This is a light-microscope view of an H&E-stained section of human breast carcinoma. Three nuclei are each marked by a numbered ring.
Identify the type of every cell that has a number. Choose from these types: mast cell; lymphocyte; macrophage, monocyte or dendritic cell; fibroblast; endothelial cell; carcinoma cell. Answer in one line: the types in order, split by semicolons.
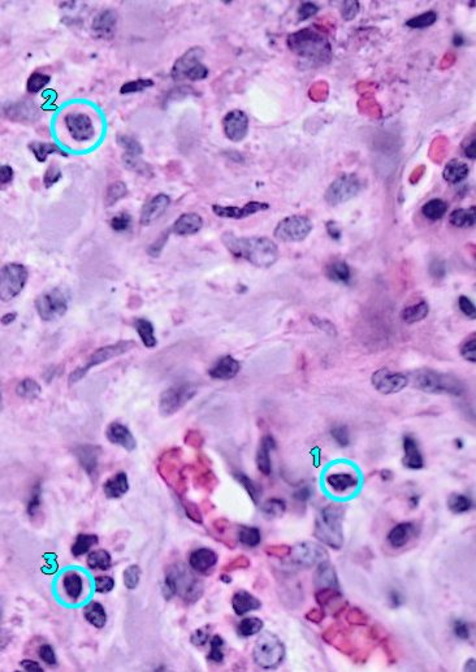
lymphocyte; mast cell; lymphocyte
